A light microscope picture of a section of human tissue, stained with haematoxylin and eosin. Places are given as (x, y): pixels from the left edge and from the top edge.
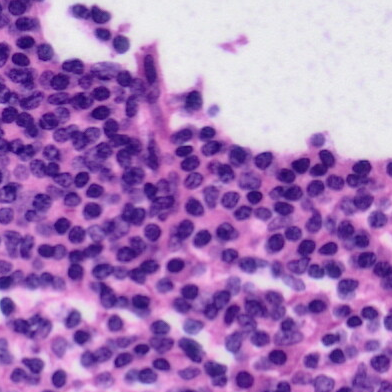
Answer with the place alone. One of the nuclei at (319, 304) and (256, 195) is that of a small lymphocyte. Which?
(256, 195)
